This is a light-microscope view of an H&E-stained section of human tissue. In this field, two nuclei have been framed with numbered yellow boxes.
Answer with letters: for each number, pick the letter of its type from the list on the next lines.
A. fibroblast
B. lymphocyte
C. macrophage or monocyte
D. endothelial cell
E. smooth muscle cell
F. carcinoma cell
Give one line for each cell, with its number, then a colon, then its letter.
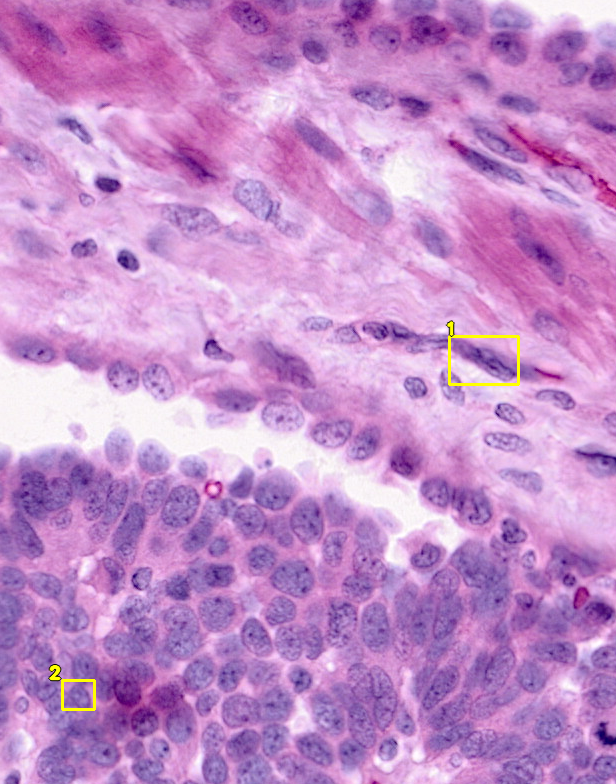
1: D
2: F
